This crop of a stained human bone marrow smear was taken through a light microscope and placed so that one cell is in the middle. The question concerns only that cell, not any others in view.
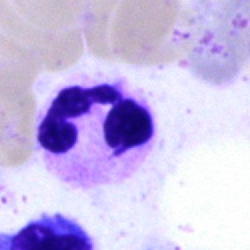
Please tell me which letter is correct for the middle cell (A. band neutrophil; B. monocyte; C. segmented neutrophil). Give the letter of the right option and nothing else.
C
